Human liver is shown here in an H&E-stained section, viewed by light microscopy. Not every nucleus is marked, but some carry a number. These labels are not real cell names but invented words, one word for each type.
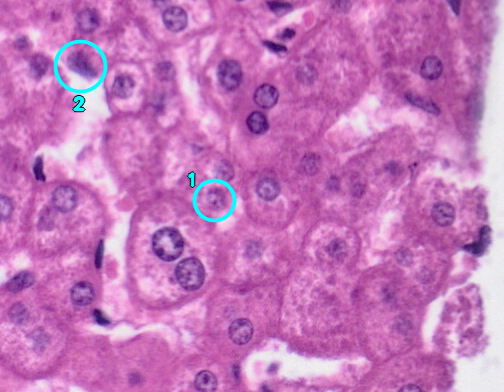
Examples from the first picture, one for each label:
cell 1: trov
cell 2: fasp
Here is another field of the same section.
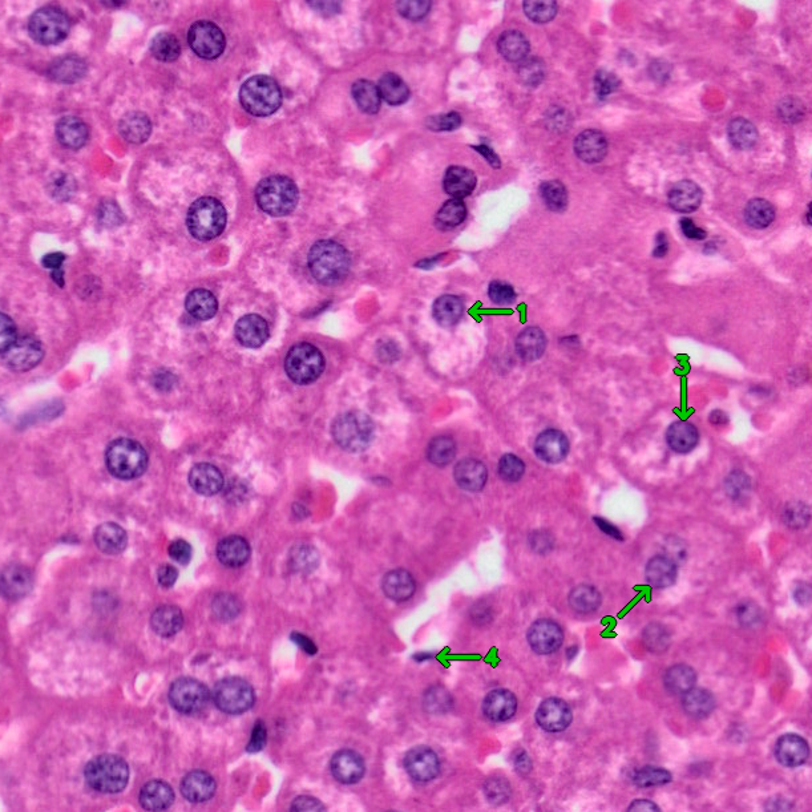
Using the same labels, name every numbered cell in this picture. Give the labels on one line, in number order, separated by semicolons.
trov; trov; trov; fasp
